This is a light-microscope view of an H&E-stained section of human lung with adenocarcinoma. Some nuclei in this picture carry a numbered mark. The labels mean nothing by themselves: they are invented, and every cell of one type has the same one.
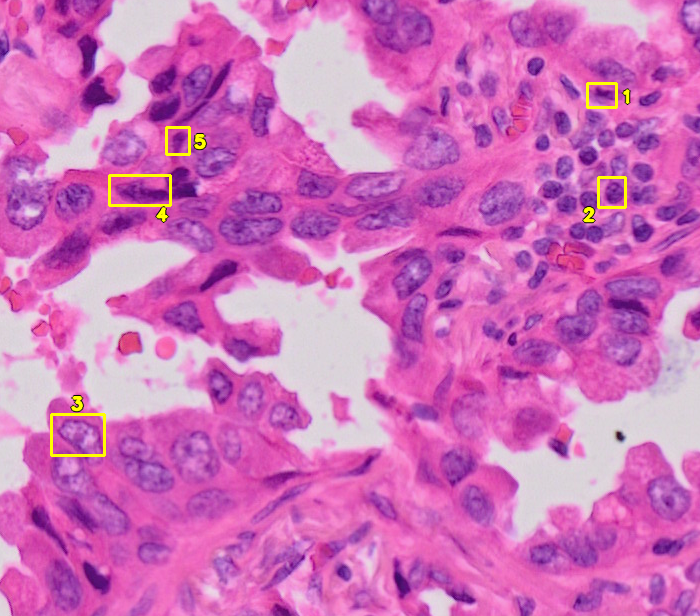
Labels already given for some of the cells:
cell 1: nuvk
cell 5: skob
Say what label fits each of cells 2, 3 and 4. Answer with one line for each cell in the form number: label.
2: nuvk
3: skob
4: skob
